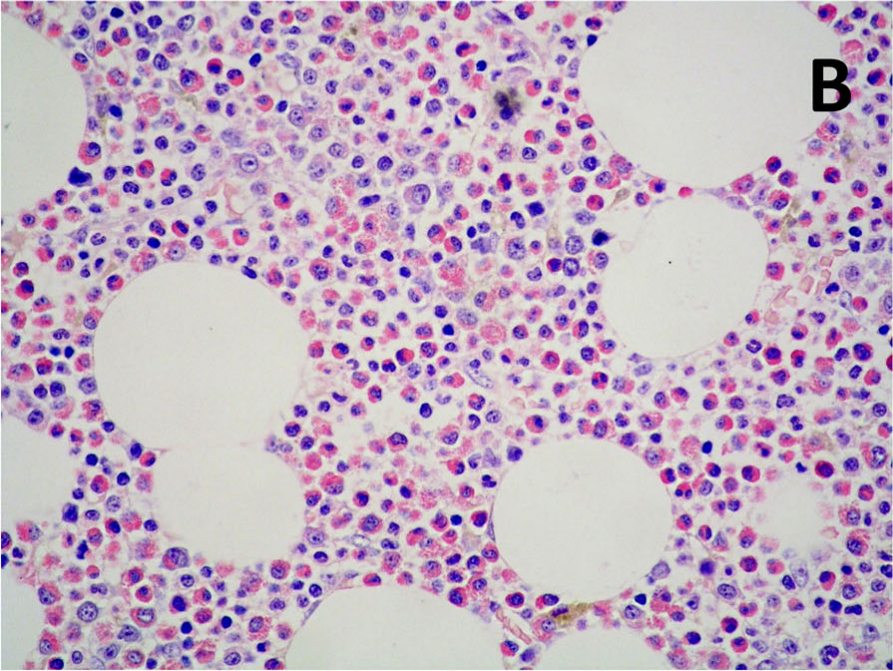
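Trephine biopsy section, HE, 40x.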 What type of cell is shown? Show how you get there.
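Many cells have bright red-orange granular cytoplasm. Granular red cells have both round immature and lobed nuclei. On this evidence: eosinophils and eosinophil precursors.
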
